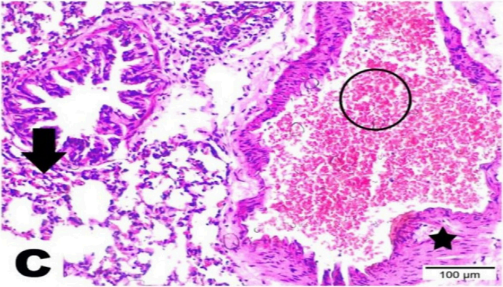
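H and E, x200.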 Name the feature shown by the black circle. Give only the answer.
Blood vessels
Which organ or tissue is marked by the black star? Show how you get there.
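The star lies in the thick pink wall around the blood-filled lumen. The wall has elongated spindle nuclei in layers. The answer: smooth muscle.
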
